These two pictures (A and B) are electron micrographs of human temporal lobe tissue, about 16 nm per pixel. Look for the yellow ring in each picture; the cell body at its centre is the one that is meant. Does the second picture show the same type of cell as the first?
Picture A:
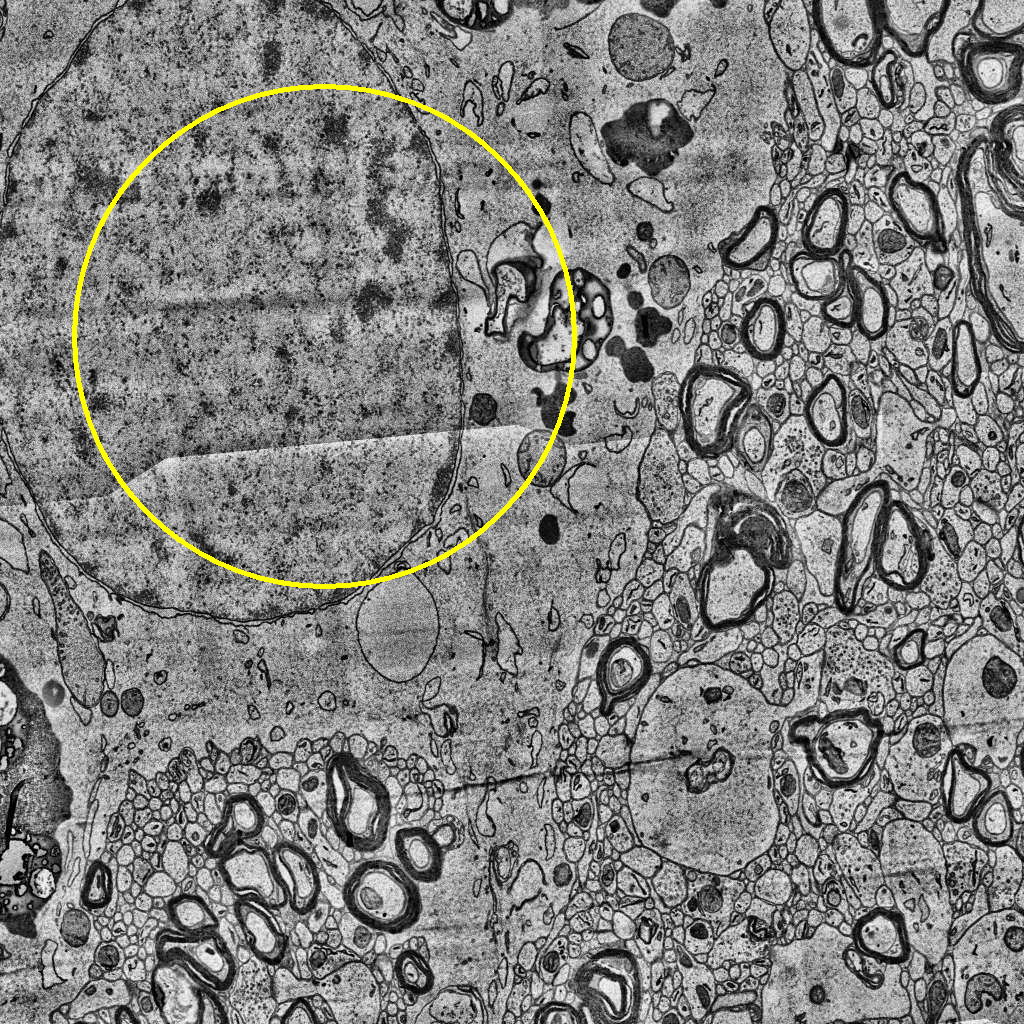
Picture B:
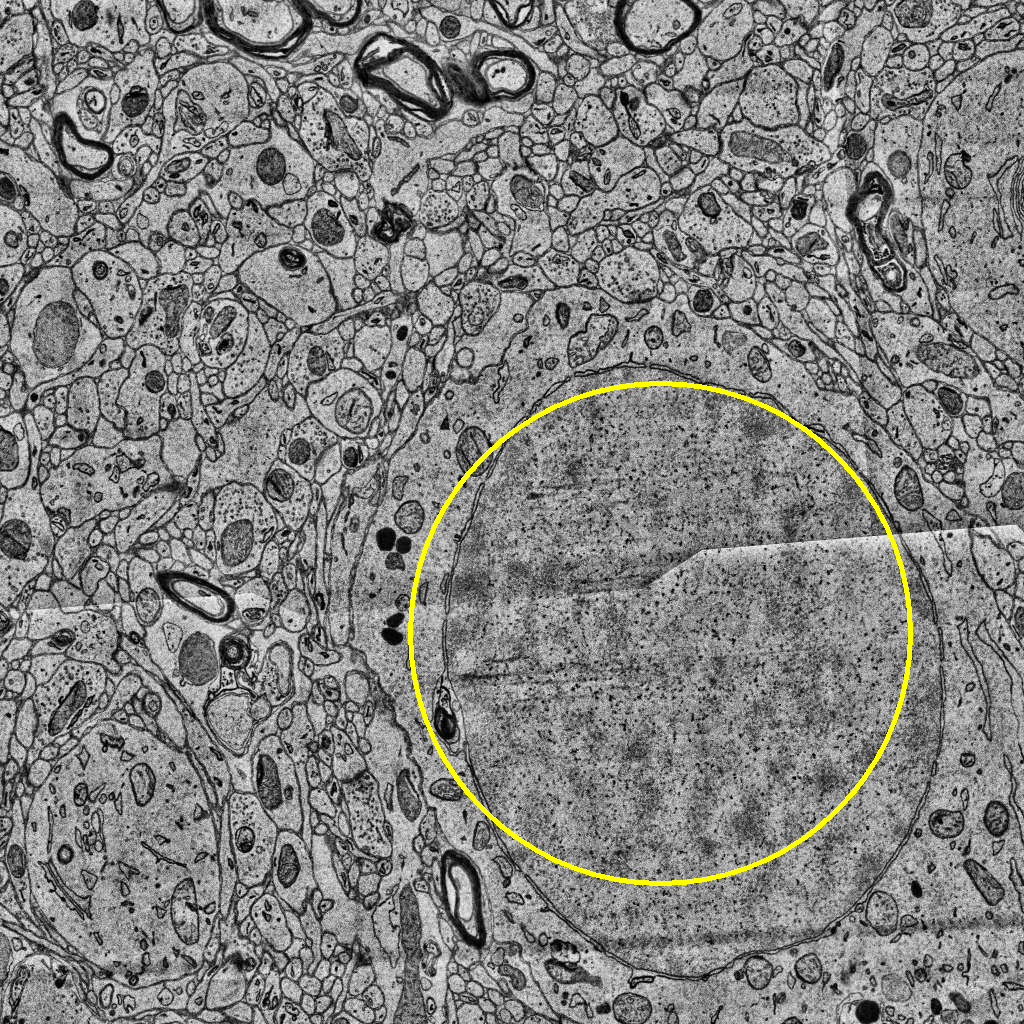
No. Picture A shows an astrocyte, but picture B shows an interneuron.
